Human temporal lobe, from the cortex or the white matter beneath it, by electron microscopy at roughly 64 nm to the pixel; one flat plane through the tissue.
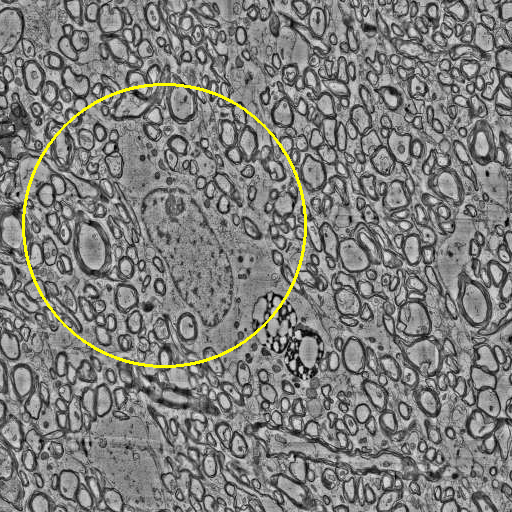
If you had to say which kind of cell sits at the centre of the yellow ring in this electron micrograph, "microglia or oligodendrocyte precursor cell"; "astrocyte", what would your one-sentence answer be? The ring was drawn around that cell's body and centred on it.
The cell sitting at the centre of the ring is an astrocyte.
